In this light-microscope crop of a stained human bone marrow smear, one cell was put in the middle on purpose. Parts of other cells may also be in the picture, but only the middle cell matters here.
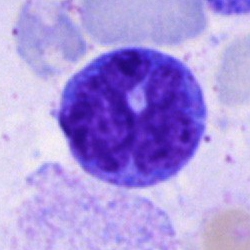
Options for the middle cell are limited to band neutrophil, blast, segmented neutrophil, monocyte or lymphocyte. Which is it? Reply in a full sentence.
Of the cells in this crop, the central one is a monocyte.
